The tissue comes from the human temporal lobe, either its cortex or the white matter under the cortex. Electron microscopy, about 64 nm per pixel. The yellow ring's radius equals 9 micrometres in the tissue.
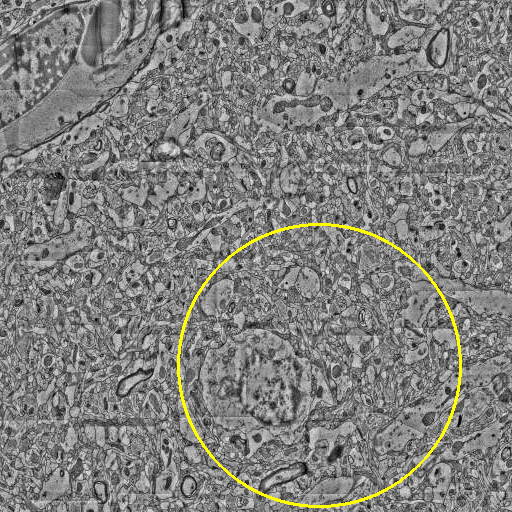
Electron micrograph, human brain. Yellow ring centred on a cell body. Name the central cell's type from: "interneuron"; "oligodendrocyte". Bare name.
interneuron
